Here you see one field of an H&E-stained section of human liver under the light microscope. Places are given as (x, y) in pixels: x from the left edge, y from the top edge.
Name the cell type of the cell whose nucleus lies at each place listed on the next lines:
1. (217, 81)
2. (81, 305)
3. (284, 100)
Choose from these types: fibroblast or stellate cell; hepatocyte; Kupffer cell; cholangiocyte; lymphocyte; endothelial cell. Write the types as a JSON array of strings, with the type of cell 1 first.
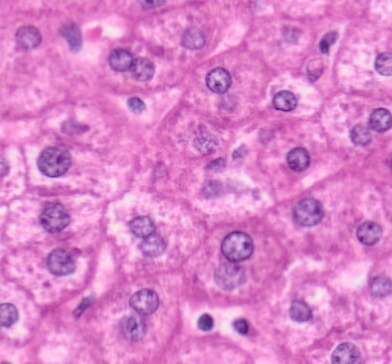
["hepatocyte", "endothelial cell", "hepatocyte"]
